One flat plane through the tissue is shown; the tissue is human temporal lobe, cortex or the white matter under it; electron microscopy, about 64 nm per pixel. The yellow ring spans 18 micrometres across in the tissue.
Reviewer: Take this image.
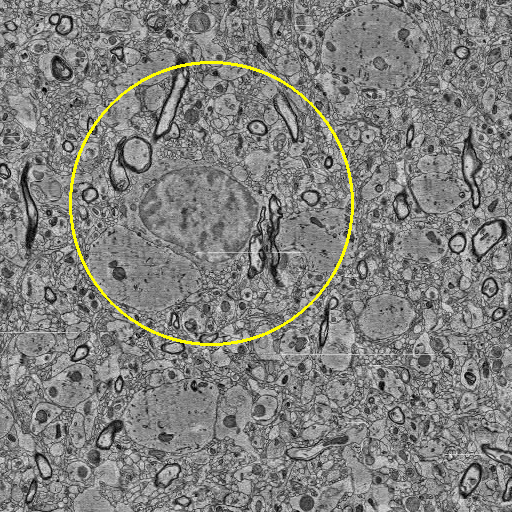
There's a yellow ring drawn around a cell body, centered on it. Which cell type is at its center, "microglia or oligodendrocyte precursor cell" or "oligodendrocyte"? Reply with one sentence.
At the center of the yellow ring is an oligodendrocyte.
